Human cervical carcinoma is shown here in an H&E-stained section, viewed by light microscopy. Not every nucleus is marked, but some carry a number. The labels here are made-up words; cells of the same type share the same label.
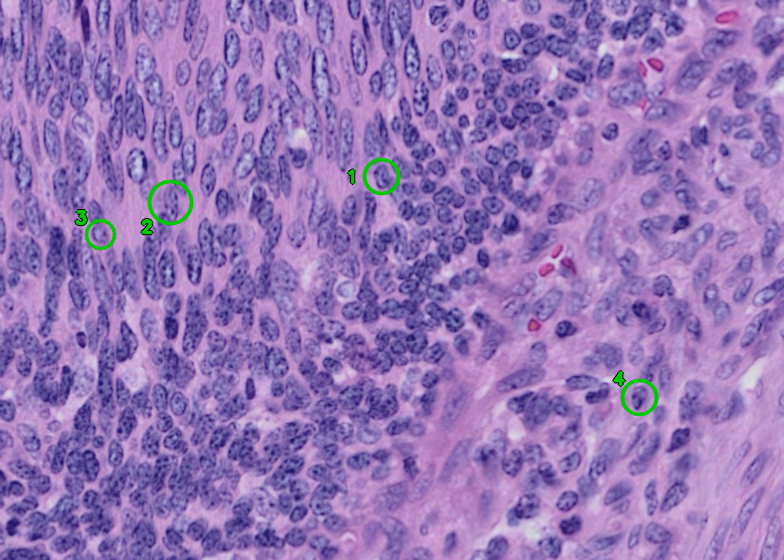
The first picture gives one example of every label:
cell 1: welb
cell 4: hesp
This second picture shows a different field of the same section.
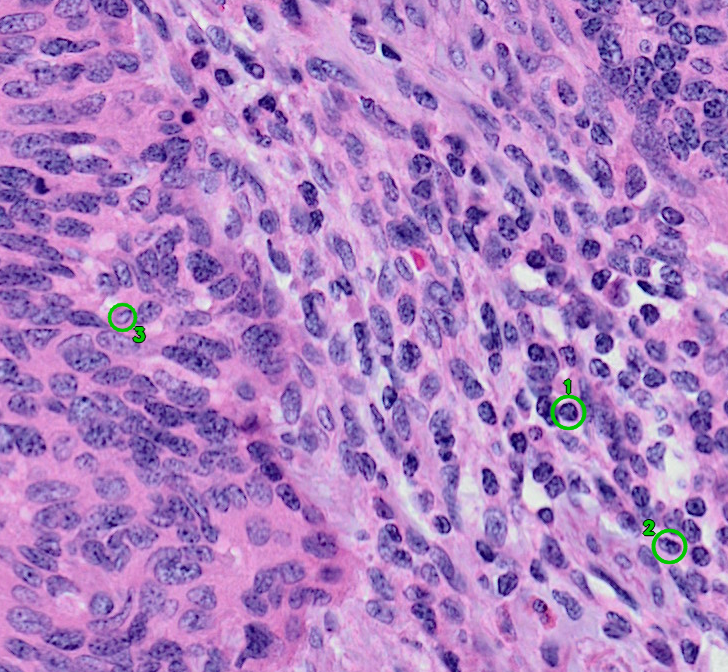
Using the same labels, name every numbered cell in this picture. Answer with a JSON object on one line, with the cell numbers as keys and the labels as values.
{"1": "hesp", "2": "hesp", "3": "welb"}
